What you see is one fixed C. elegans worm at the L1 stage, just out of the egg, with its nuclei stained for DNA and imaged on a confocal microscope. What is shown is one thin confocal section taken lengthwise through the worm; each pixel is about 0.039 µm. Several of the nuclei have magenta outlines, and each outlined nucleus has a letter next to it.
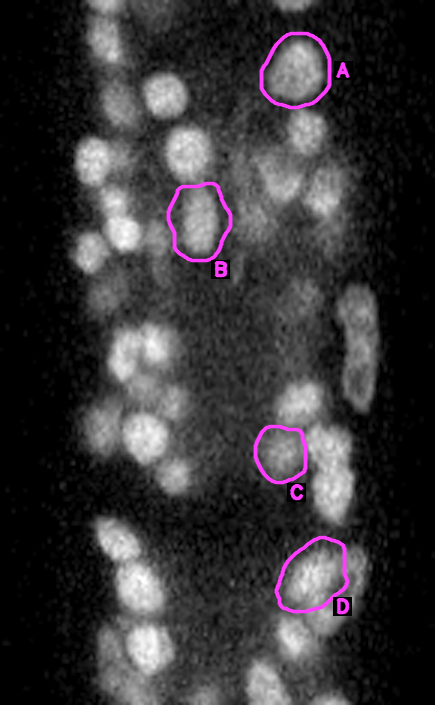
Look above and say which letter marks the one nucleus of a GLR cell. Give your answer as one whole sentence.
C is from a GLR cell.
